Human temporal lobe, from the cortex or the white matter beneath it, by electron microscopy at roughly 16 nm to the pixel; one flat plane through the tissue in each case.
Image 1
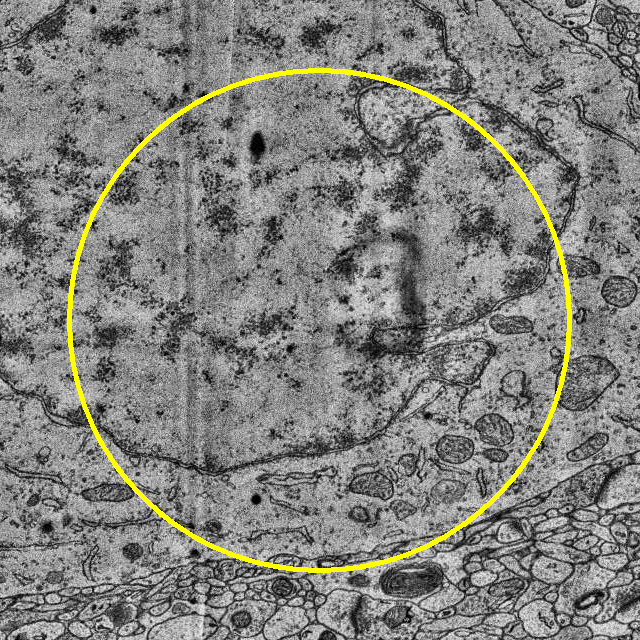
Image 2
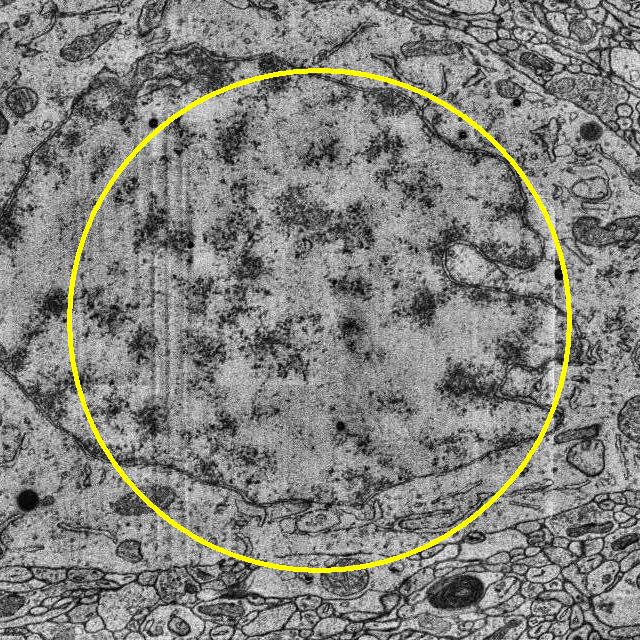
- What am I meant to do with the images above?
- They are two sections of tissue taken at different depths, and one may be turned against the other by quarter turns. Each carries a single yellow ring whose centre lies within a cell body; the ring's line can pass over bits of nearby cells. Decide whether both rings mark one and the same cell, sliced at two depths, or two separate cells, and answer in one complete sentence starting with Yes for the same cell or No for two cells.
Yes, a single cell lies behind both yellow marks.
